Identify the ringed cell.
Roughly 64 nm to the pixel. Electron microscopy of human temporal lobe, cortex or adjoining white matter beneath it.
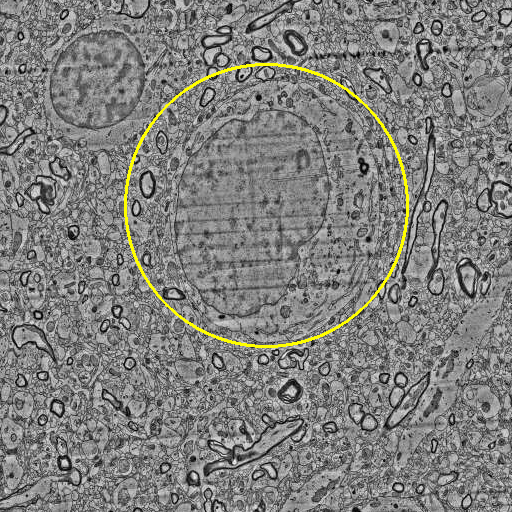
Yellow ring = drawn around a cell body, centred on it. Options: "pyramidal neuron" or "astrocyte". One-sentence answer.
What the ring is centred on is a pyramidal neuron.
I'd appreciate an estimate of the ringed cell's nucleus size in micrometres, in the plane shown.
Approximately 13 by 9 micrometers in this plane.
